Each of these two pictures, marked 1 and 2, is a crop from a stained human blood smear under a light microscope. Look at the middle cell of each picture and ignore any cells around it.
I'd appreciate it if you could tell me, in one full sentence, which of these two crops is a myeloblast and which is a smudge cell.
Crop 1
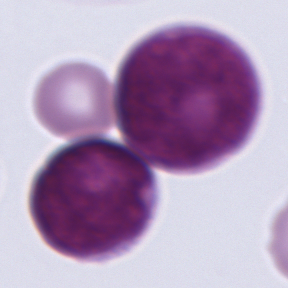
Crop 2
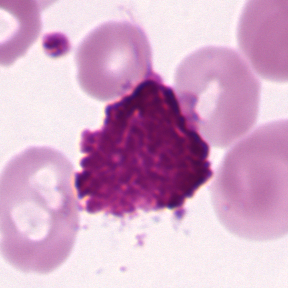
Crop 1 is to be read as a myeloblast and crop 2 as a smudge cell.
